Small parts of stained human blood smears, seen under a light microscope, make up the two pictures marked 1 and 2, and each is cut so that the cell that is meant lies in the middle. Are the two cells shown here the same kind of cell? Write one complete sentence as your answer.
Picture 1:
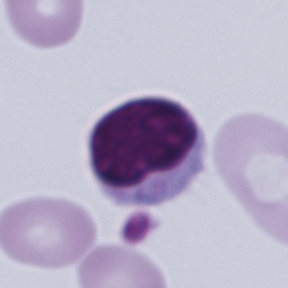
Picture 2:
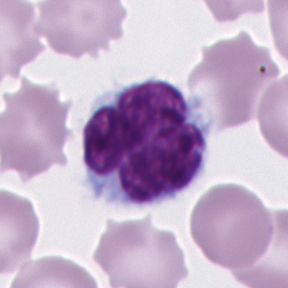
No, the types are not the same, since picture 1 shows a typical lymphocyte and picture 2 a hairy cell.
